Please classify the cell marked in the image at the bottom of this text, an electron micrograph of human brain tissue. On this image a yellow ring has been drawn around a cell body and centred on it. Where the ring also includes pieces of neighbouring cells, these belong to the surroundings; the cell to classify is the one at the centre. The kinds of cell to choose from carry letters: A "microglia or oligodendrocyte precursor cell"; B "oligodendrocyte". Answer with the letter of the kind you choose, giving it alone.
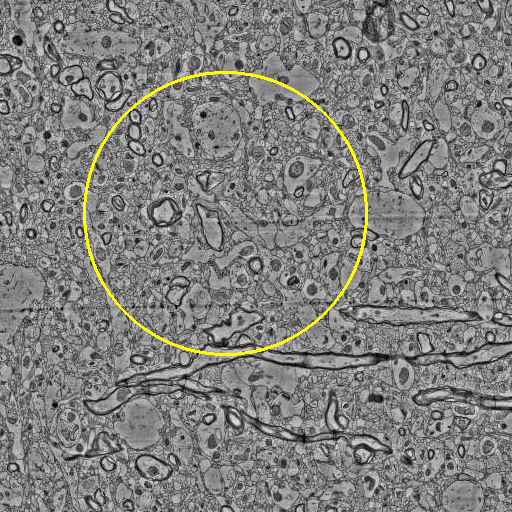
B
